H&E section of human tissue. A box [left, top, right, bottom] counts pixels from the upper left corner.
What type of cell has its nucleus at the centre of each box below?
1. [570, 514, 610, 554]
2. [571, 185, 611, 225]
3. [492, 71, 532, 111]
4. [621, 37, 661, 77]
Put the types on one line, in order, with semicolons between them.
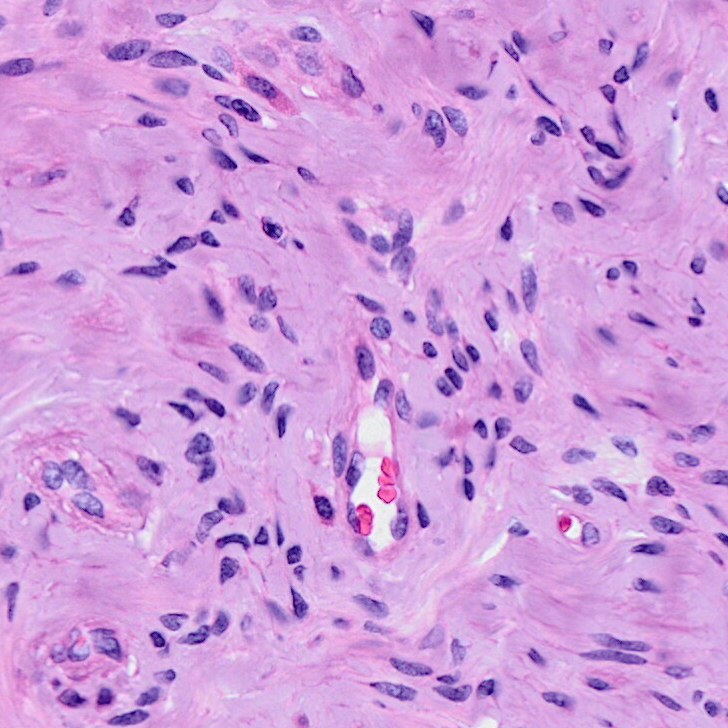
endothelial cell; fibroblast; fibroblast; fibroblast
